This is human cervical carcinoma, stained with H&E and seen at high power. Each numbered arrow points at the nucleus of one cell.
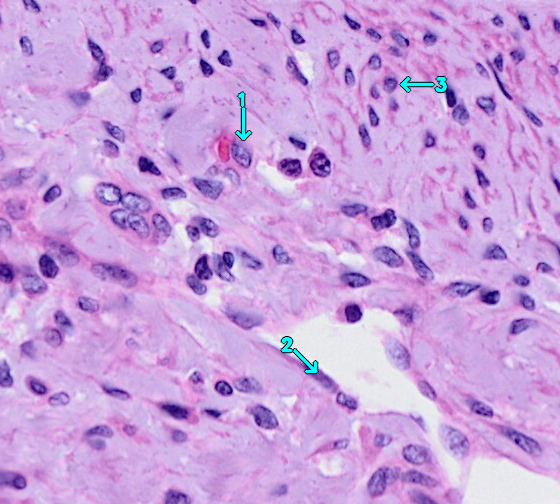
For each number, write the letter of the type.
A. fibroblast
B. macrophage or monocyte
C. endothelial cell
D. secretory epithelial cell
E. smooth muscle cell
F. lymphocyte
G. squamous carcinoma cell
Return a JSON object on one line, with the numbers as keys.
{"1": "C", "2": "C", "3": "E"}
